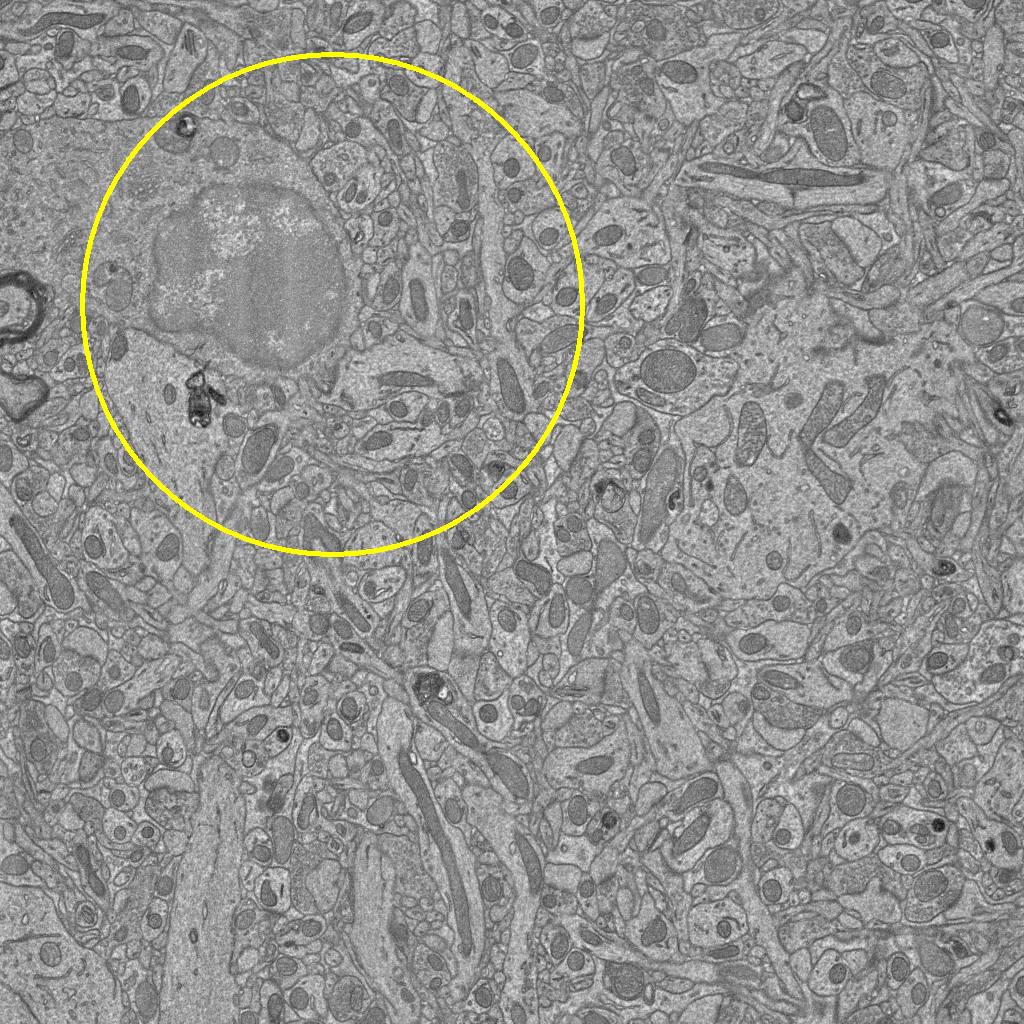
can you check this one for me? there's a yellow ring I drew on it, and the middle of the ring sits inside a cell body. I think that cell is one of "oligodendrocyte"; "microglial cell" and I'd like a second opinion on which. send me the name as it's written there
oligodendrocyte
